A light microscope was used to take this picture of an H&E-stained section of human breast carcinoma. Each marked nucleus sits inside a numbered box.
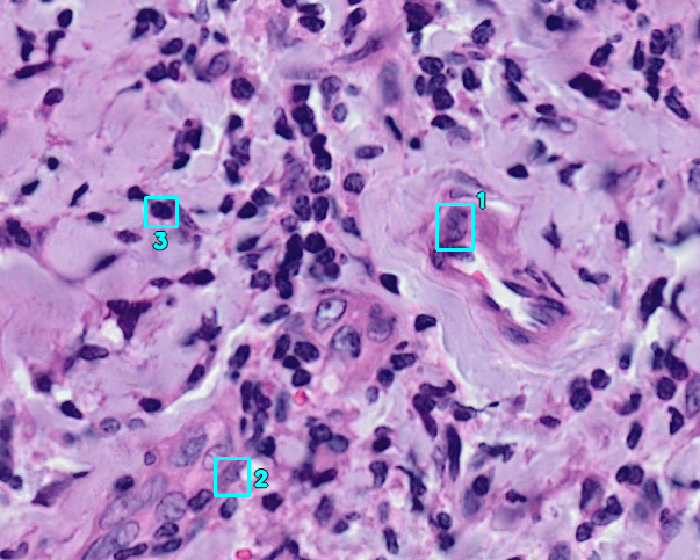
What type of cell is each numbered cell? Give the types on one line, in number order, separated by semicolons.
endothelial cell; endothelial cell; lymphocyte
